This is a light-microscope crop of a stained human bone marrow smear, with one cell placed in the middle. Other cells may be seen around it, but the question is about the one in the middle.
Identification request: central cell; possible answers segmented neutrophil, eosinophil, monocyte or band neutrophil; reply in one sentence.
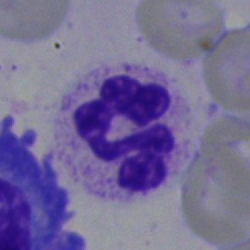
In the center of this field lies a segmented neutrophil.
